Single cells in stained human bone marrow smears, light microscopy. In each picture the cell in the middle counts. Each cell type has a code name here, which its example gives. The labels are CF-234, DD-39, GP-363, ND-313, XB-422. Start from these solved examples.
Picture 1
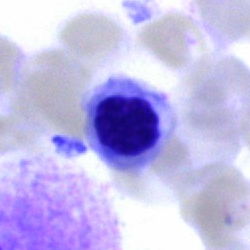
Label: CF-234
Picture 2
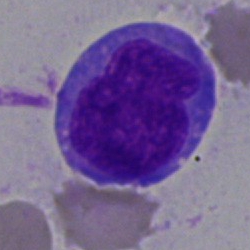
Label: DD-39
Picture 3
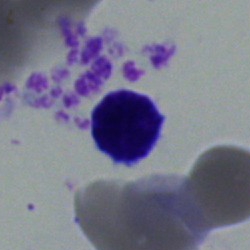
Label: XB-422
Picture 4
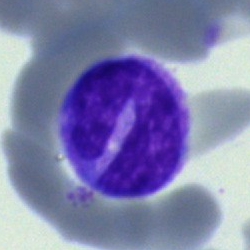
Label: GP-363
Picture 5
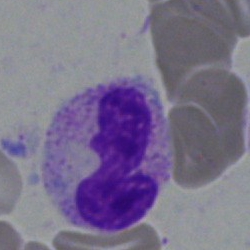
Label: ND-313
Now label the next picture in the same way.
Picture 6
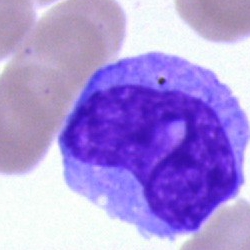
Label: GP-363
